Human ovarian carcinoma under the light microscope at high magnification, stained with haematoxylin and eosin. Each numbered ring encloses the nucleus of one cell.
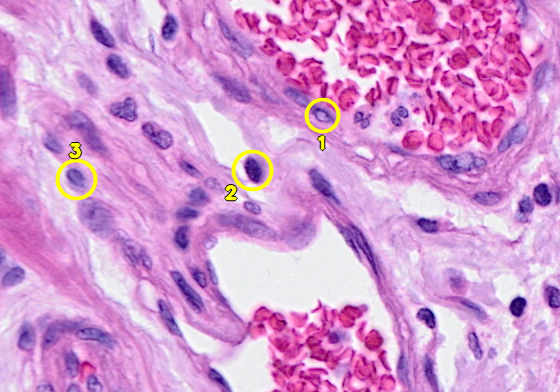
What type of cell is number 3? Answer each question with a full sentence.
The cell indicated with the number 3 is classed as a lymphocyte.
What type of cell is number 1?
The cell indicated by marker 1 is an endothelial cell in this section.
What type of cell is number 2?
What the number 2 marks in this field is a lymphocyte.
